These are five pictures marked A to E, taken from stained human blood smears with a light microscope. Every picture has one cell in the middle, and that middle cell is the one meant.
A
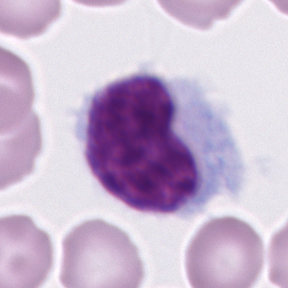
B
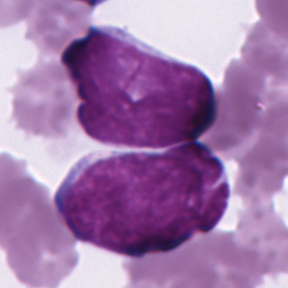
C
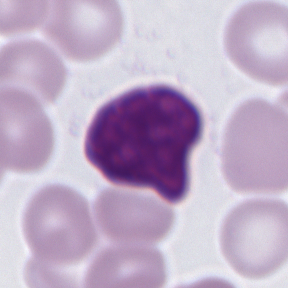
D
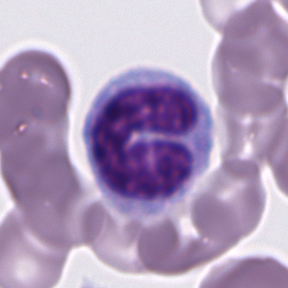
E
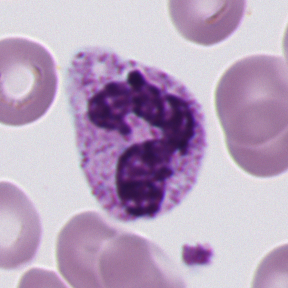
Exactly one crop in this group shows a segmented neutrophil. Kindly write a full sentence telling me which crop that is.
Crop E, and no other, shows a segmented neutrophil.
